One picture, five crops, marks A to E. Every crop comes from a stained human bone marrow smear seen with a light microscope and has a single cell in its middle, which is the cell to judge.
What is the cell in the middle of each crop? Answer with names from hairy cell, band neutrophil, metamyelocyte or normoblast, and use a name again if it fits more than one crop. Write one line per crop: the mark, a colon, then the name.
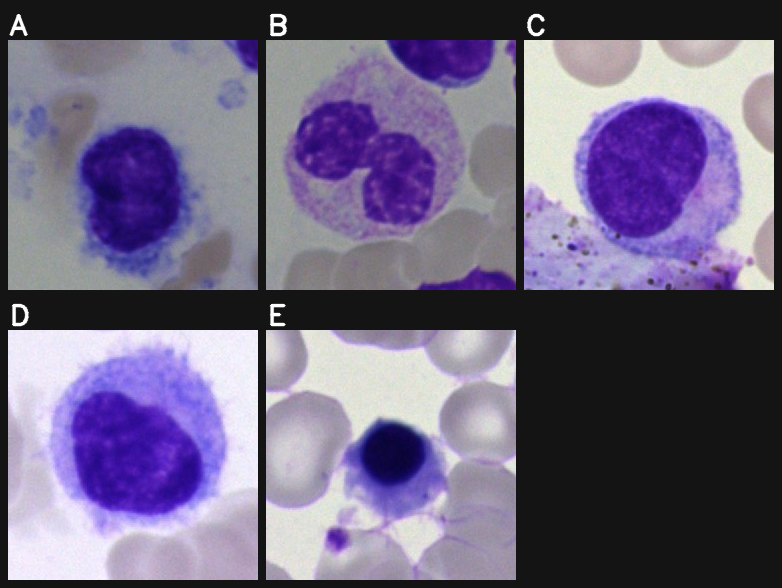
A: hairy cell
B: band neutrophil
C: hairy cell
D: hairy cell
E: normoblast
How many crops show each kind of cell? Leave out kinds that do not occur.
hairy cell: 3
band neutrophil: 1
normoblast: 1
